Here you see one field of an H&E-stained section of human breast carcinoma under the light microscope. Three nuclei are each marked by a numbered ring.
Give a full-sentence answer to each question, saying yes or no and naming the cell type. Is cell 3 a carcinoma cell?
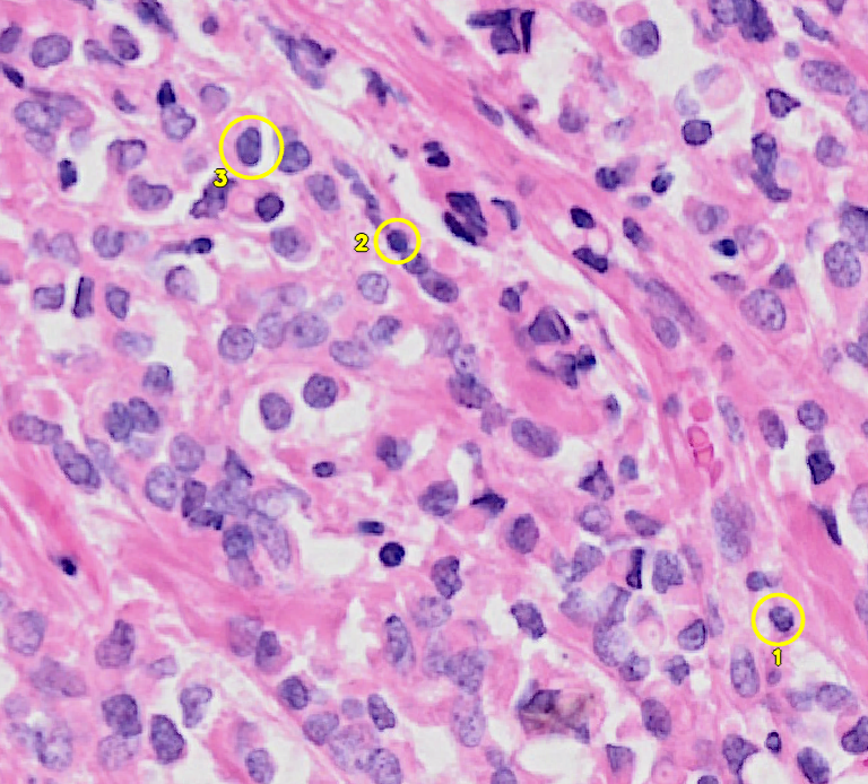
Yes, the cell with the number 3 is a carcinoma cell.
